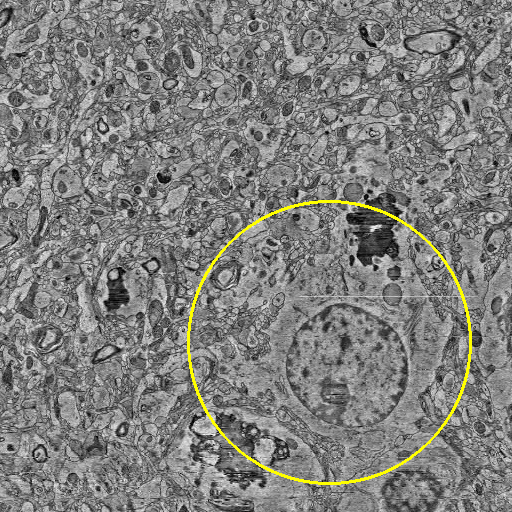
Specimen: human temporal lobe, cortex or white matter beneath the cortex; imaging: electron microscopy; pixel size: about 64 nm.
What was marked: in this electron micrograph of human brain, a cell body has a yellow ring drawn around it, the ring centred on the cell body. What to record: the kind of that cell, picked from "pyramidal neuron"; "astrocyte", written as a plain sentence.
The centred cell is an astrocyte.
